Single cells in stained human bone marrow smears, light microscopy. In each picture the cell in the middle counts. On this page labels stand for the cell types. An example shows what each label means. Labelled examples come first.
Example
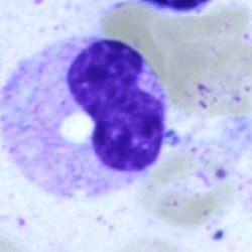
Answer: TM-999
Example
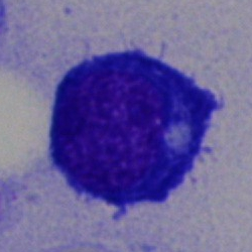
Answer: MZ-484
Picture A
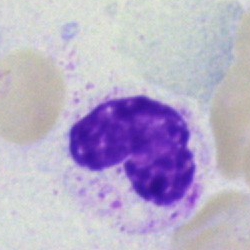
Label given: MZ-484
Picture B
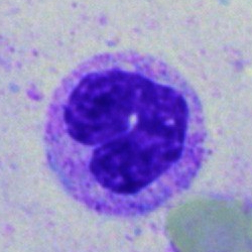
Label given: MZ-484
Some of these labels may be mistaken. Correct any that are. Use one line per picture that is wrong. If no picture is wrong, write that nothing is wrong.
A: not MZ-484 but TM-999
B: not MZ-484 but TM-999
